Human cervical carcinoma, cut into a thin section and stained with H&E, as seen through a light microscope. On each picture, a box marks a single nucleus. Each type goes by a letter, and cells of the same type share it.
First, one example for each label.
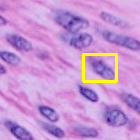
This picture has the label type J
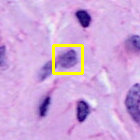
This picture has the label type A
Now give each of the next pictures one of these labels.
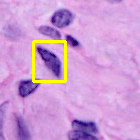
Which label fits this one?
type A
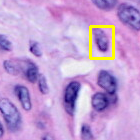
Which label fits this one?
type J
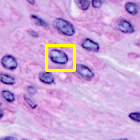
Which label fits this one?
type J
